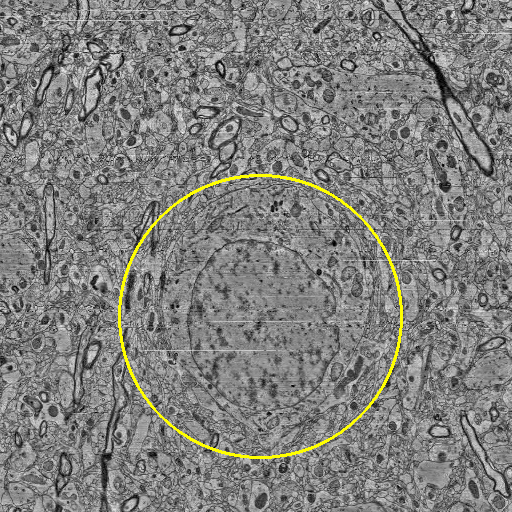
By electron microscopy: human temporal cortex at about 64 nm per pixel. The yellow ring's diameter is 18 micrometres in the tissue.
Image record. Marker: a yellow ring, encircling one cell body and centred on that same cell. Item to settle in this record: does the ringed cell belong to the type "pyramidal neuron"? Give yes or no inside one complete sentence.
Yes, in the picture, the cell centred within the yellow ring is of the stated type.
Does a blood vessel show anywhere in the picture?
No, none shows.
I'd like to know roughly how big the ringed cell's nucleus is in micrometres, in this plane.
In this plane the nucleus is about 12 micrometres by 10.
